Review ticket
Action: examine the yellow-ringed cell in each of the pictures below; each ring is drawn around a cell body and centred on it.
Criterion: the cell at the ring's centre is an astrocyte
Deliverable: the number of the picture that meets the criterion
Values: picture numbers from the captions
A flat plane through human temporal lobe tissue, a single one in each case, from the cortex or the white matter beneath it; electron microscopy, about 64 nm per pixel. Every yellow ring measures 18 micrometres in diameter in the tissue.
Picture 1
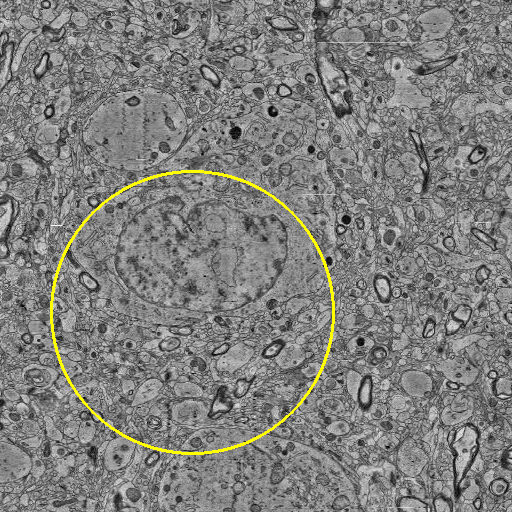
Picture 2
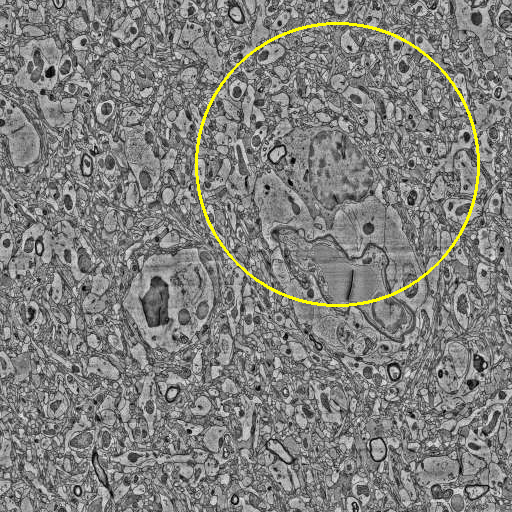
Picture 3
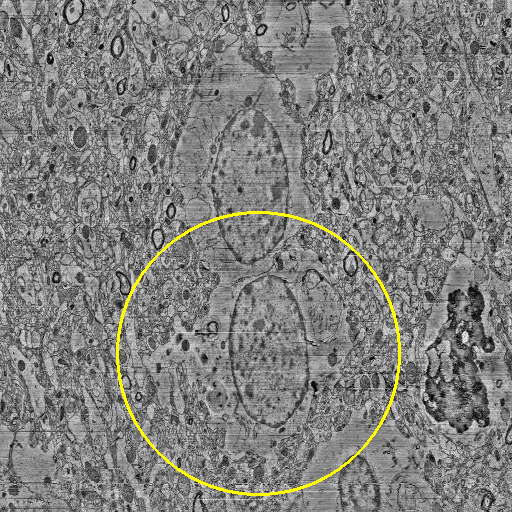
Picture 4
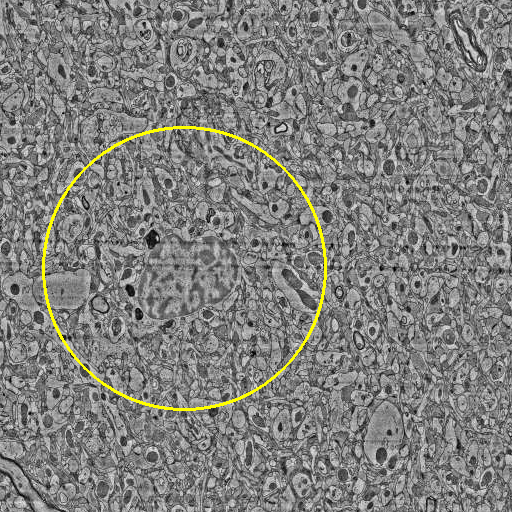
3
